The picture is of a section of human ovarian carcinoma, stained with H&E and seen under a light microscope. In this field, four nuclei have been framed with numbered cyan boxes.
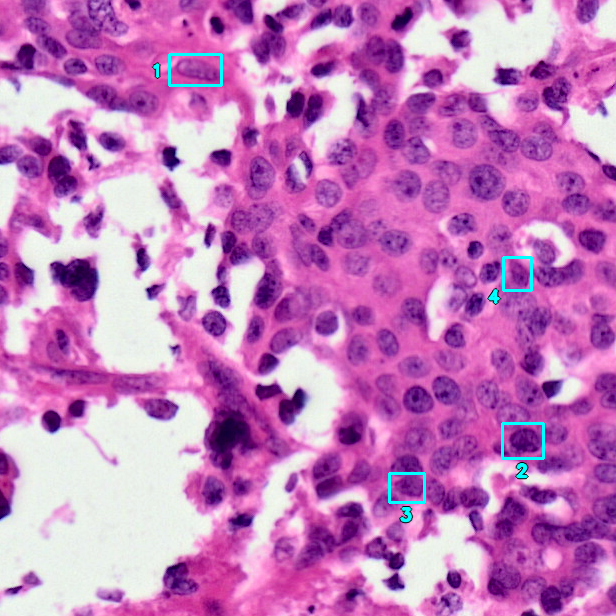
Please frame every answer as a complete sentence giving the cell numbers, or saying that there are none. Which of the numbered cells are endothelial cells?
Of the numbered cells, only cell 1 is an endothelial cell.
